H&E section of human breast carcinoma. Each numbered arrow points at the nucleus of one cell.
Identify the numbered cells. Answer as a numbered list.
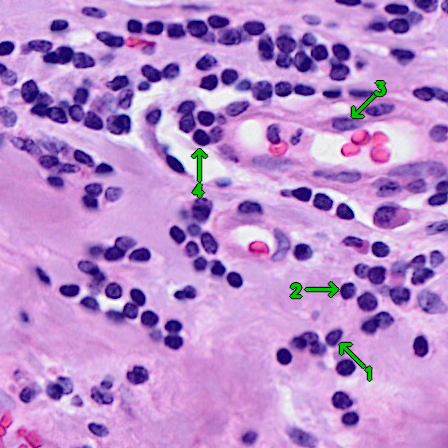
1. lymphocyte
2. lymphocyte
3. endothelial cell
4. lymphocyte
